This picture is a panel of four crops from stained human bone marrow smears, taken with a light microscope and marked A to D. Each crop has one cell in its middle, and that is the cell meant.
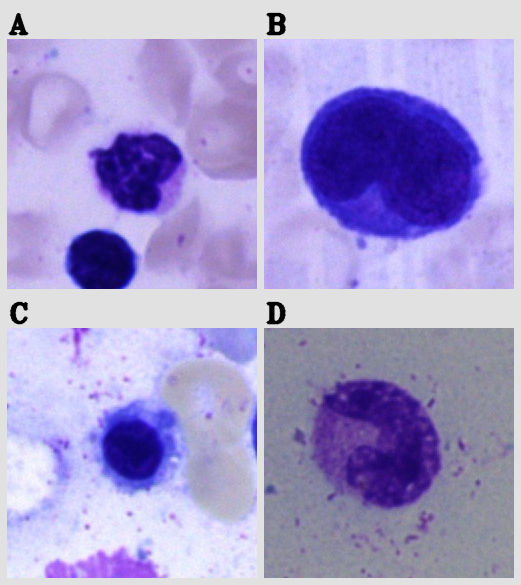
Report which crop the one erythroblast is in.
C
